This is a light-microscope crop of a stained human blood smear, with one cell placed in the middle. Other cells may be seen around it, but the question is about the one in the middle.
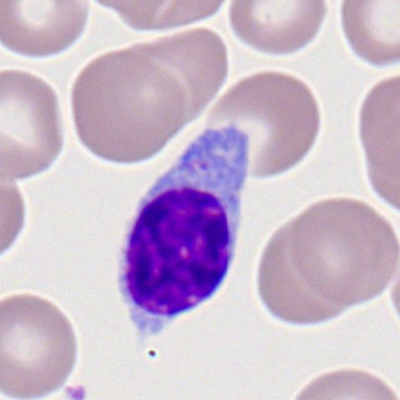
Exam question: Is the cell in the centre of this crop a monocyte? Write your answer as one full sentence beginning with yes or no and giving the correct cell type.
No, the cell centered in the crop is a lymphocyte, not a monocyte.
